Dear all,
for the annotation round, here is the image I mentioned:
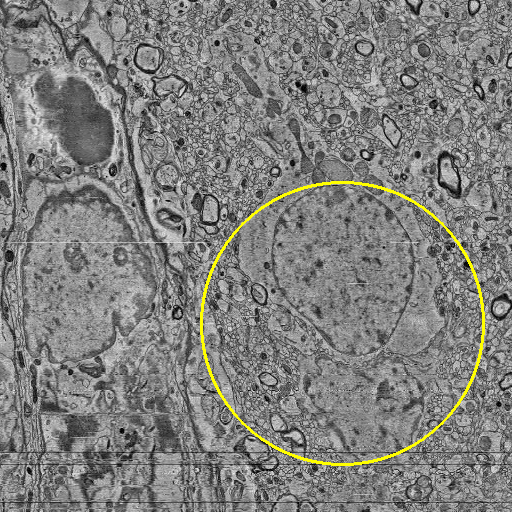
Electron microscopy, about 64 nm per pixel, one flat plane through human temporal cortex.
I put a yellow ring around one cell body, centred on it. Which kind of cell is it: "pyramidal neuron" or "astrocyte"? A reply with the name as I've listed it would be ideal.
astrocyte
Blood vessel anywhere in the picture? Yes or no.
Yes.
